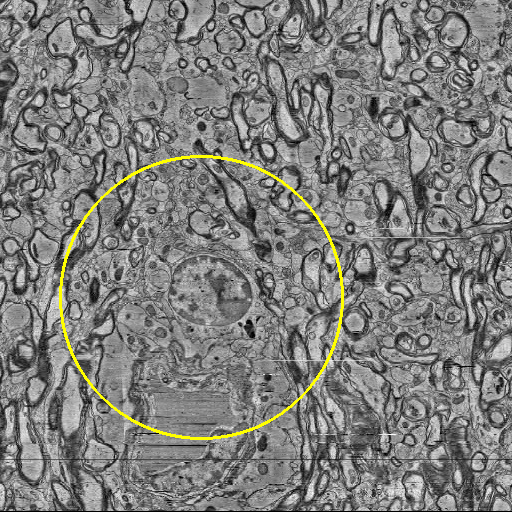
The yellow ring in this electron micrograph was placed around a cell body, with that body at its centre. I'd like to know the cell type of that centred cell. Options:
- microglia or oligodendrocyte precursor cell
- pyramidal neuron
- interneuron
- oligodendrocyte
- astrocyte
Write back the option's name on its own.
microglia or oligodendrocyte precursor cell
